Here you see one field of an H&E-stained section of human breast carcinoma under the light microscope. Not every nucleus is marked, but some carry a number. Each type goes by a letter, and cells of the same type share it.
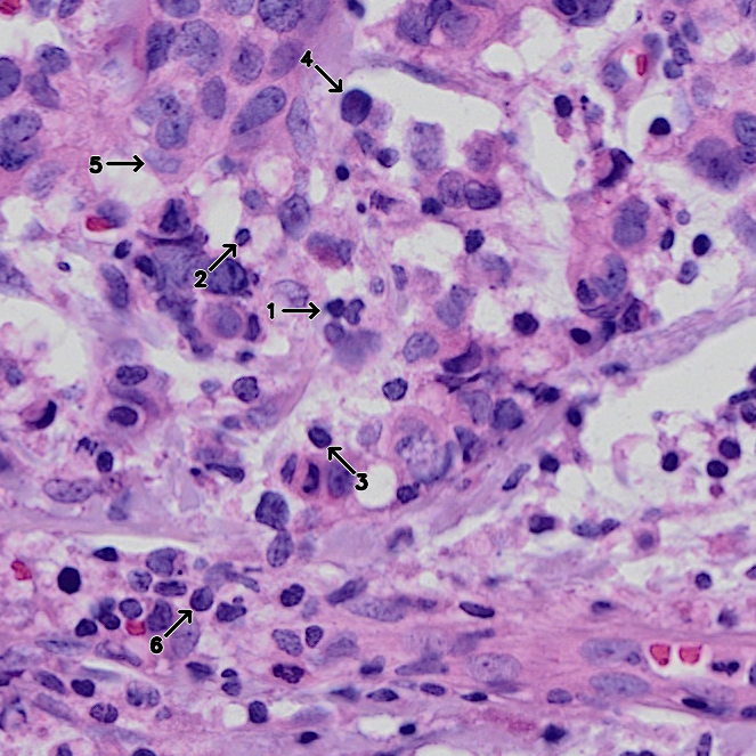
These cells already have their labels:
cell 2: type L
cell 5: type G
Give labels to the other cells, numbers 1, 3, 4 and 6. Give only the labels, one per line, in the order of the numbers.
type L
type L
type G
type L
